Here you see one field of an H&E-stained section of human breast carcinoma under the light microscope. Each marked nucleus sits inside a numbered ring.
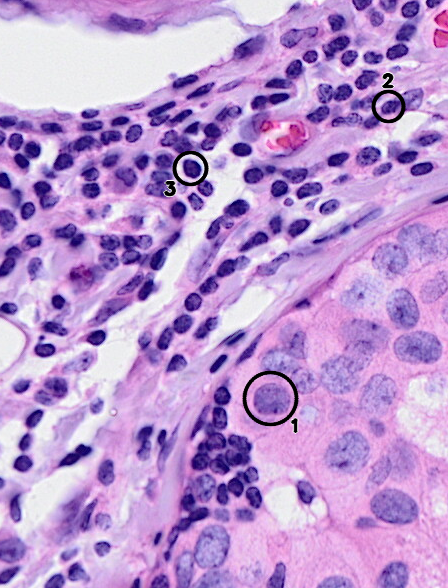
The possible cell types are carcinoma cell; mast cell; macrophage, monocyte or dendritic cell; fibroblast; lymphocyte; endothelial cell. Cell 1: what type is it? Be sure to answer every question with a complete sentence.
The correct answer for cell 1 is a carcinoma cell.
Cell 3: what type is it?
Number 3 among the marked cells is a lymphocyte.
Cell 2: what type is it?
The cell that goes by number 2 is a lymphocyte.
